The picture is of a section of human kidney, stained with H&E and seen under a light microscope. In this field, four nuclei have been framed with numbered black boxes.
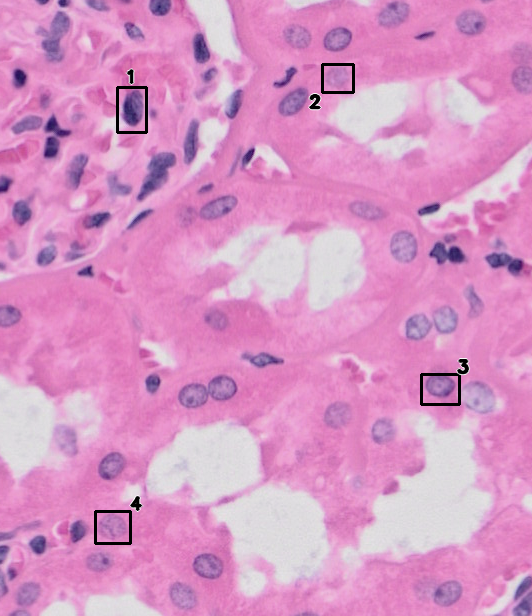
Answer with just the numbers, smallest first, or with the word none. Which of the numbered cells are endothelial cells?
1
